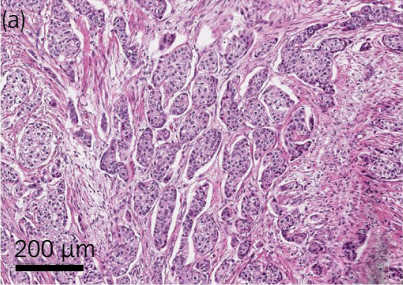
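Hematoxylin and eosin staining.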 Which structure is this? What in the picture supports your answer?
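Small to medium‐sized nests. Many discrete rounded and elongated clusters of purple-staining cells. Clusters are separated by pink fibrous stroma. Clusters vary in size from small to medium.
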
